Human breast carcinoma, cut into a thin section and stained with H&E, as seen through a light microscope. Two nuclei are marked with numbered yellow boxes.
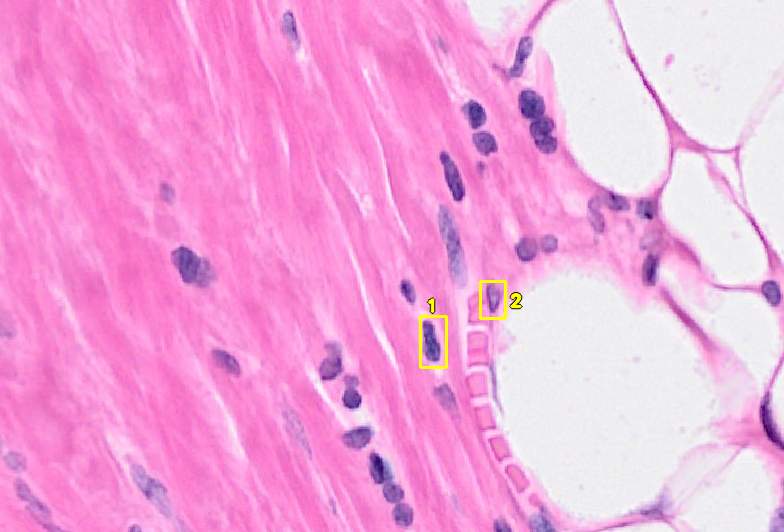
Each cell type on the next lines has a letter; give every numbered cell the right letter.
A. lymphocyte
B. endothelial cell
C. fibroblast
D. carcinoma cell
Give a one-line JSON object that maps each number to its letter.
{"1": "A", "2": "B"}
